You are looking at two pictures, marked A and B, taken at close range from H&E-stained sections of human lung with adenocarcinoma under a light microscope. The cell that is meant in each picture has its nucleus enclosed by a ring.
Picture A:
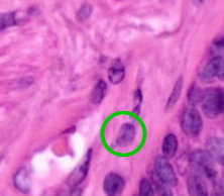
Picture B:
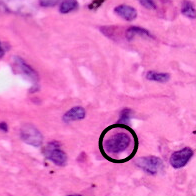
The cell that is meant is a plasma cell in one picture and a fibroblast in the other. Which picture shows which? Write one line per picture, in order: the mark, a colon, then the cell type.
A: fibroblast
B: plasma cell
